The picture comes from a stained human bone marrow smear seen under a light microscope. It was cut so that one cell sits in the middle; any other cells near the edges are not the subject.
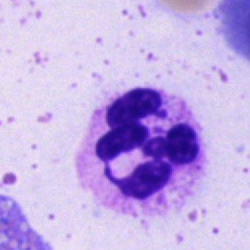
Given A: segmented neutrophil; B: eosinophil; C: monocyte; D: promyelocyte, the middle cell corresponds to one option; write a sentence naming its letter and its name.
The cell in the middle is a segmented neutrophil, and that makes option A correct.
